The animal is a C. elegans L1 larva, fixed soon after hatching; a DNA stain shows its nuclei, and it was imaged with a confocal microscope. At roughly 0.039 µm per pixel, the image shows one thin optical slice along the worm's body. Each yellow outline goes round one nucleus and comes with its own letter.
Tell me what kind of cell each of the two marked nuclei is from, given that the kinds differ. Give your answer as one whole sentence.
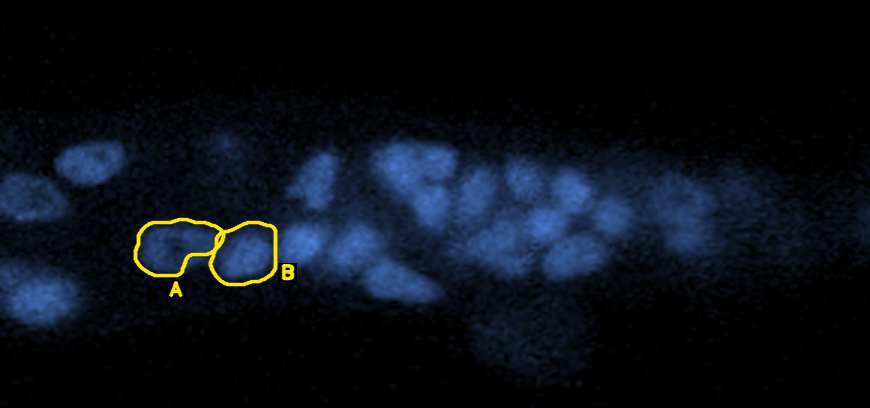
Nucleus A comes from an intestinal cell and nucleus B from a neuron.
